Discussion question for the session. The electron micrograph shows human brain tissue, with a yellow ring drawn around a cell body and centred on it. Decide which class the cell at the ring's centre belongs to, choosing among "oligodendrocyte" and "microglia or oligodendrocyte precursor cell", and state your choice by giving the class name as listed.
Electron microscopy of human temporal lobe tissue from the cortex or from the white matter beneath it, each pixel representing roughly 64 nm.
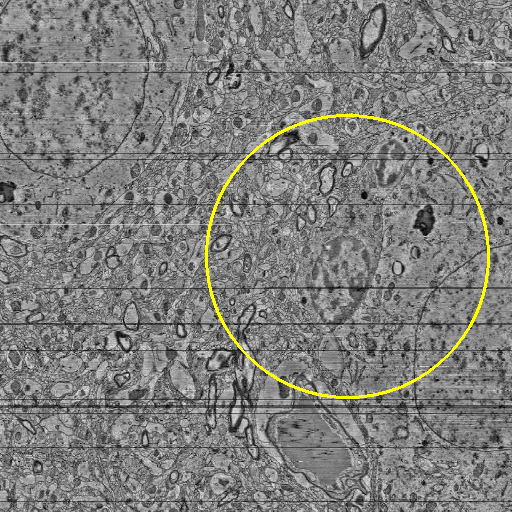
oligodendrocyte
